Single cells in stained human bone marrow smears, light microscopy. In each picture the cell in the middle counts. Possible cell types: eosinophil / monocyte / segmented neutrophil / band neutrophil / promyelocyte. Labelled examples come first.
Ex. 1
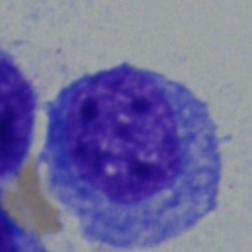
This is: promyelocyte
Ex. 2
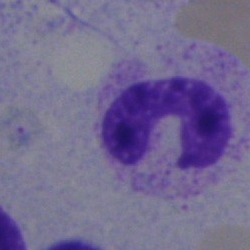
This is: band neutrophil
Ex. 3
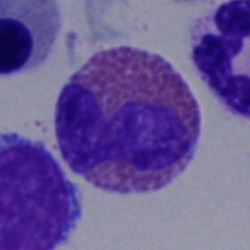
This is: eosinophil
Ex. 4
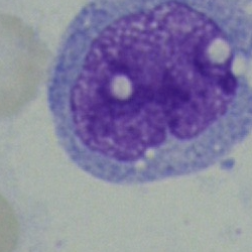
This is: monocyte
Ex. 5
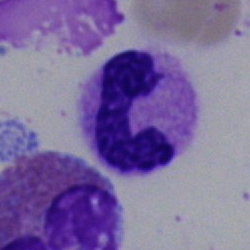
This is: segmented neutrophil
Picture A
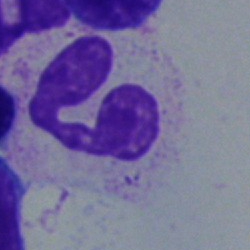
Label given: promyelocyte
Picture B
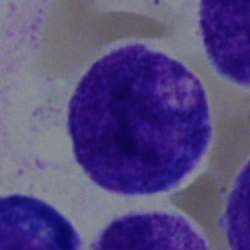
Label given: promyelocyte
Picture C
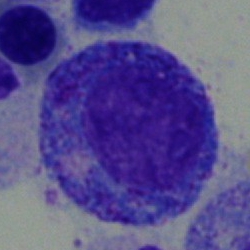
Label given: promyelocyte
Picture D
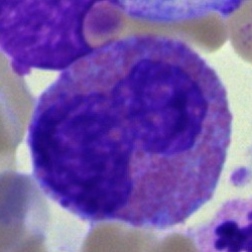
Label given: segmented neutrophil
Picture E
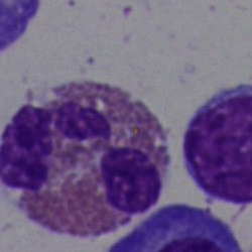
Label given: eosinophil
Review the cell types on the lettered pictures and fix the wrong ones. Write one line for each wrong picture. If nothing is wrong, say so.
A: not promyelocyte but segmented neutrophil
D: not segmented neutrophil but eosinophil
